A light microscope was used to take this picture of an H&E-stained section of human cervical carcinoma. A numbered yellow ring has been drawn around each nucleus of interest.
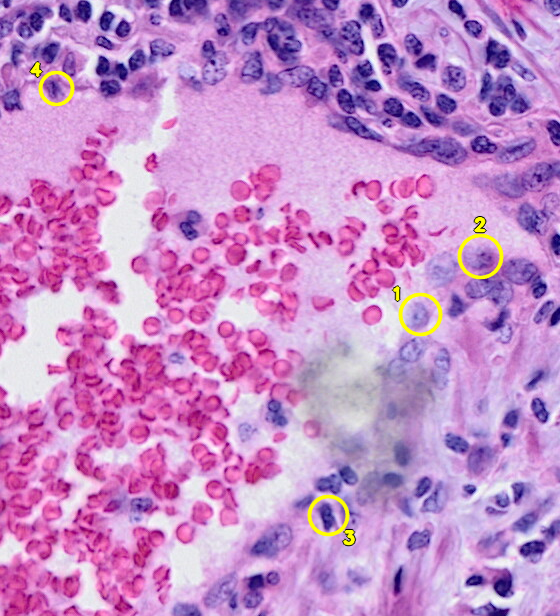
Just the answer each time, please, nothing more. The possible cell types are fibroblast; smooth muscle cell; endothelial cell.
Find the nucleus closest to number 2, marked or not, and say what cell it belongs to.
endothelial cell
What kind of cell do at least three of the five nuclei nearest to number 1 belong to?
endothelial cell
